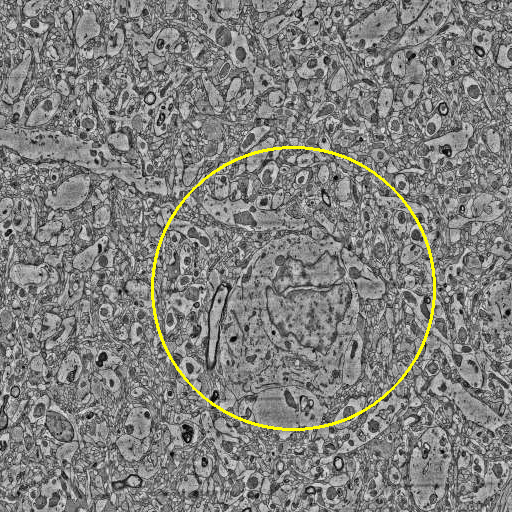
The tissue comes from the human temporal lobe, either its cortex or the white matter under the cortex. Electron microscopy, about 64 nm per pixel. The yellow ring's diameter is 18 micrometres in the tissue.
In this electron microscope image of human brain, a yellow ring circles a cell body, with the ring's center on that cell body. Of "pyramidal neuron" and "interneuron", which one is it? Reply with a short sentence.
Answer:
It is an interneuron at the center of the ring.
